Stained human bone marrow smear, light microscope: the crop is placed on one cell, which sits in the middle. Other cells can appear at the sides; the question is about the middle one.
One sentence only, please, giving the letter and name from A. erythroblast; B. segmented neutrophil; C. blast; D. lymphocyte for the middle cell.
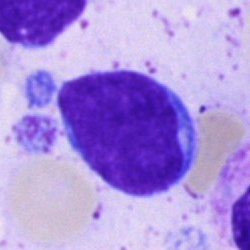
That the central cell is a blast makes option C correct.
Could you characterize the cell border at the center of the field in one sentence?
Expected answer: a smooth cell outline without projections of any sort.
